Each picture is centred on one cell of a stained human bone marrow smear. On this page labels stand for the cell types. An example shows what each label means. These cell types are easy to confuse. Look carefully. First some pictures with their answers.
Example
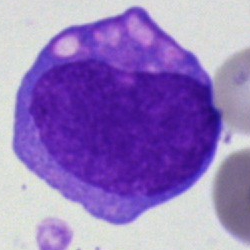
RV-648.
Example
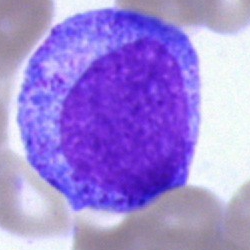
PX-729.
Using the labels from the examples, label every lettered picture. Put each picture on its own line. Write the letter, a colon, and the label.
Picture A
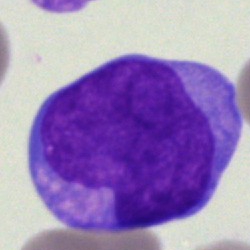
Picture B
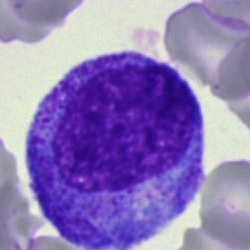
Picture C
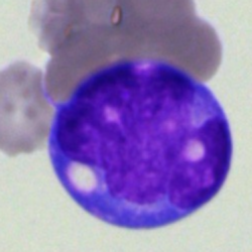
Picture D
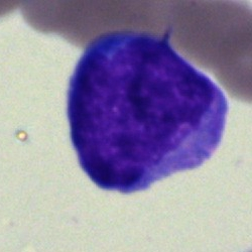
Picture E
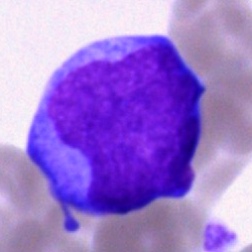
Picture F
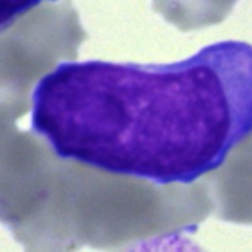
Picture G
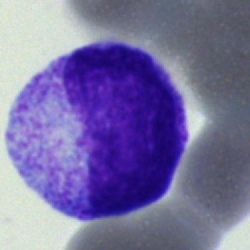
A: RV-648.
B: PX-729.
C: RV-648.
D: RV-648.
E: RV-648.
F: RV-648.
G: PX-729.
